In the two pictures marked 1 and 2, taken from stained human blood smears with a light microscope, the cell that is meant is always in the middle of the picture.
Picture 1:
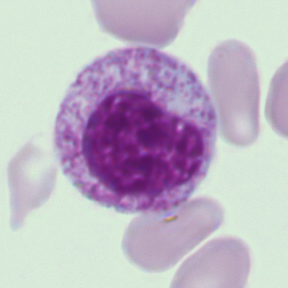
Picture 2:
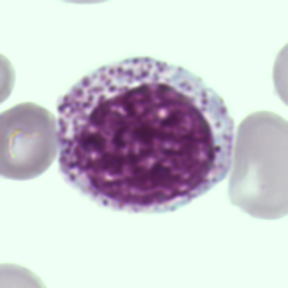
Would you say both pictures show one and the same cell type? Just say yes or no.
yes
